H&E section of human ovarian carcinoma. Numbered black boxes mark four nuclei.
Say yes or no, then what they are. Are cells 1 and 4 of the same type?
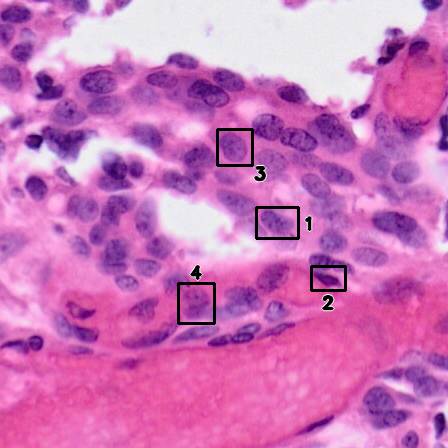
No, as to type, cell 1 is a carcinoma cell, and cell 4 is an endothelial cell.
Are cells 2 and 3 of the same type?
No, cell 2 is an endothelial cell and cell 3 is a carcinoma cell.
